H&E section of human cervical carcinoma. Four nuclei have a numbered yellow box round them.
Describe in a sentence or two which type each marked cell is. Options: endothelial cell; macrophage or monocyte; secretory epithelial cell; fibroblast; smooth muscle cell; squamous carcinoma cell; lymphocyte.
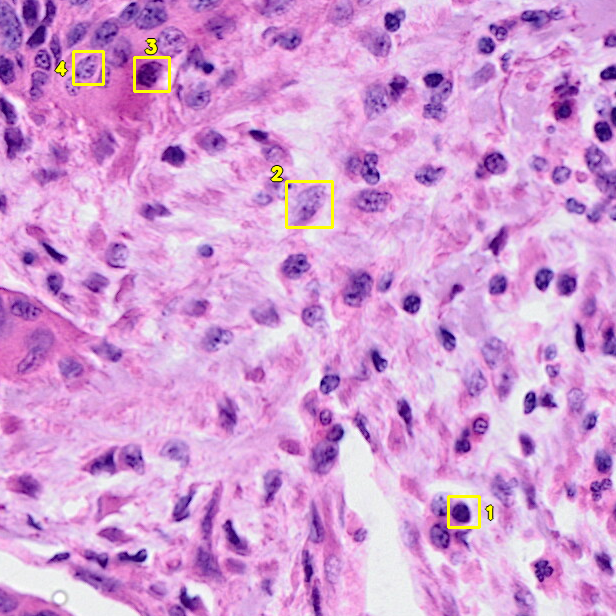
Cell 1 is a lymphocyte. Cell 2 is a fibroblast. Cells 3 and 4 are squamous carcinoma cells.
